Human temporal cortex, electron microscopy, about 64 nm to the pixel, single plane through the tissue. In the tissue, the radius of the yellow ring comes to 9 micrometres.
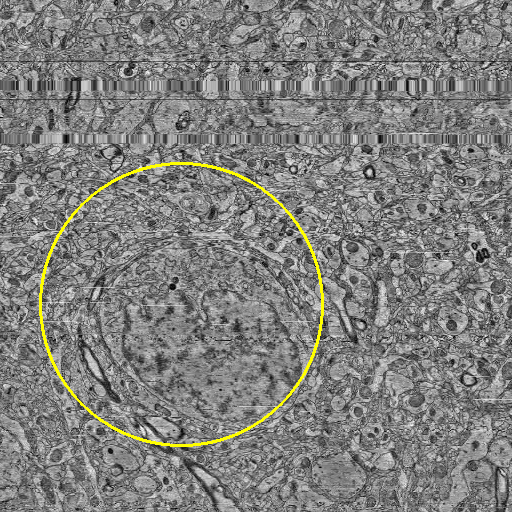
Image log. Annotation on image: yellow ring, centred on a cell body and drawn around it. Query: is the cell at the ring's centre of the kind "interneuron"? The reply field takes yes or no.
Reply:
yes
